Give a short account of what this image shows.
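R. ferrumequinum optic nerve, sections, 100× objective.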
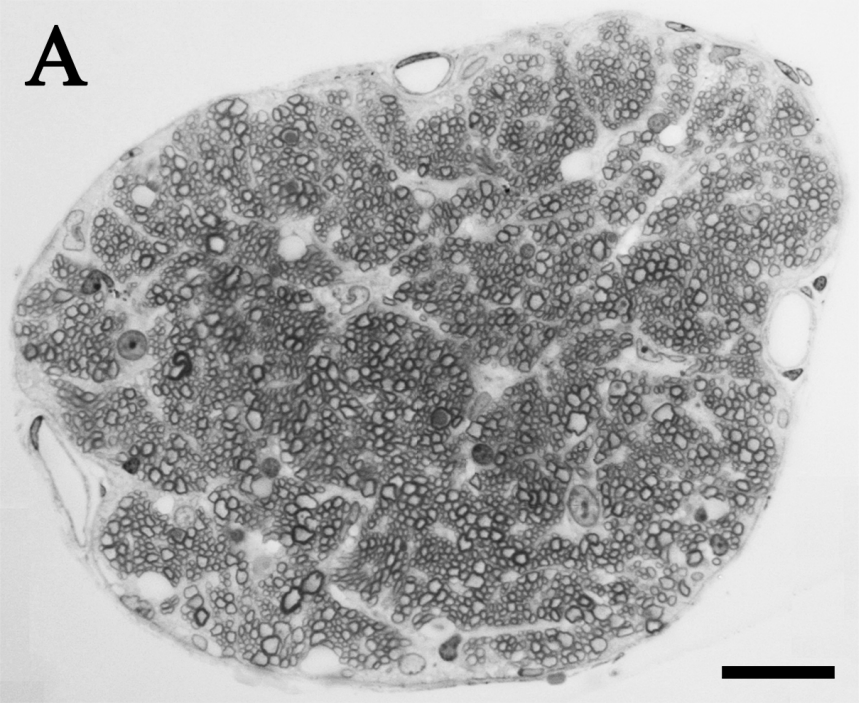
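The interior is packed with small ring-shaped myelinated axons of varied size, grouped into bundles by pale branching septa. A few larger clear round spaces lie scattered through the section and at its edge.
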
